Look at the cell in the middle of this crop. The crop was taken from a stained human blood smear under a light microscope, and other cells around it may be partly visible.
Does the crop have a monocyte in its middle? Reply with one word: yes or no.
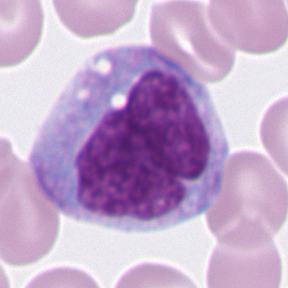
yes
